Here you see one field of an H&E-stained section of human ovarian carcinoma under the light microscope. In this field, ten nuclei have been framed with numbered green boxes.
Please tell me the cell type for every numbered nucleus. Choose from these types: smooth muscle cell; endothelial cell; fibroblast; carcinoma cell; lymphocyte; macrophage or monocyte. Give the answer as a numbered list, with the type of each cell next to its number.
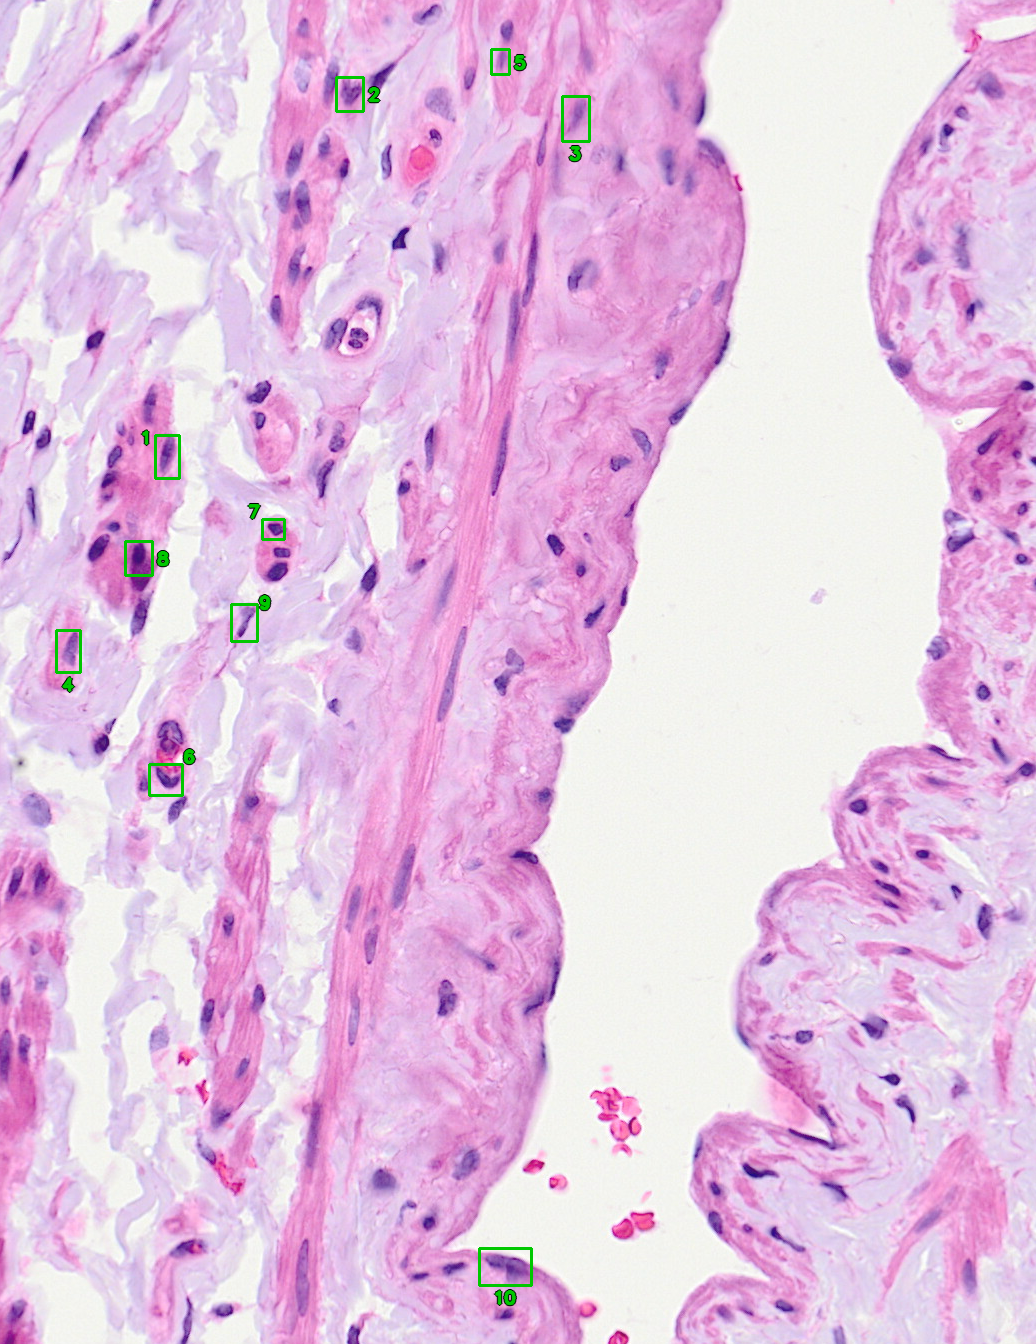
1. smooth muscle cell
2. endothelial cell
3. smooth muscle cell
4. smooth muscle cell
5. smooth muscle cell
6. endothelial cell
7. smooth muscle cell
8. smooth muscle cell
9. fibroblast
10. endothelial cell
